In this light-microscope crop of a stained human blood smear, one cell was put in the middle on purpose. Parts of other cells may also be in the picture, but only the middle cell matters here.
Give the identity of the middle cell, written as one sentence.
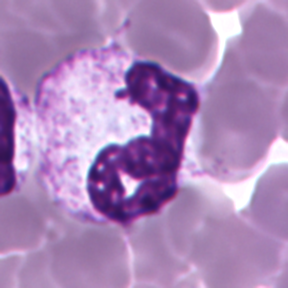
This particular crop is centered on a neutrophil.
